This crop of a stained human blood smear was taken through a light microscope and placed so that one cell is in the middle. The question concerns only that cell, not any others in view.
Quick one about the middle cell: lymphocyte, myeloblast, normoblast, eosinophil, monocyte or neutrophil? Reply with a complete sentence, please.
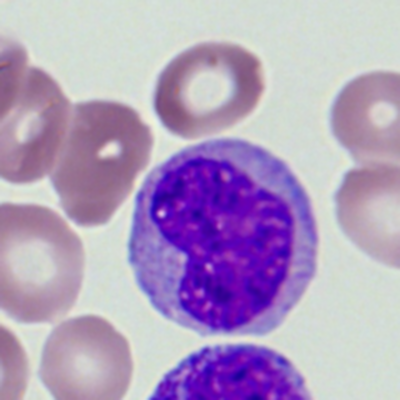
The cell positioned in the middle of the field is a monocyte.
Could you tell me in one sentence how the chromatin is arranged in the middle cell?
Its nuclear chromatin is gathered into coarse clumps.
